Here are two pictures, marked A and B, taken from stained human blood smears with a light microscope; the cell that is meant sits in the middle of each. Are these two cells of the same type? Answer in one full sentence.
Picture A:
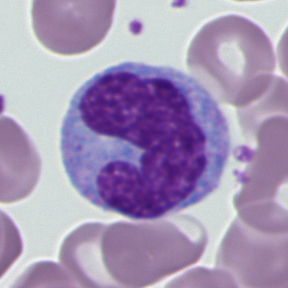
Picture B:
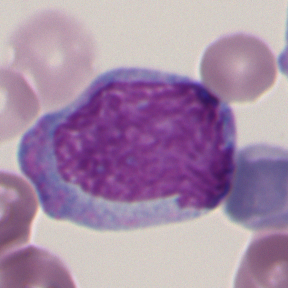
No, picture A shows a monocyte and picture B shows an atypical promyelocyte.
